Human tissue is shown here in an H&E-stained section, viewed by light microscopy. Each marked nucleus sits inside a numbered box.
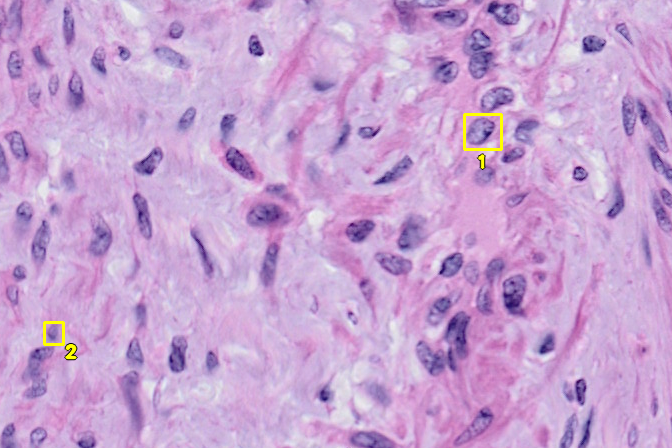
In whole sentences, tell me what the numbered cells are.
Cell 1 is an endothelial cell and cell 2 is a smooth muscle cell.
